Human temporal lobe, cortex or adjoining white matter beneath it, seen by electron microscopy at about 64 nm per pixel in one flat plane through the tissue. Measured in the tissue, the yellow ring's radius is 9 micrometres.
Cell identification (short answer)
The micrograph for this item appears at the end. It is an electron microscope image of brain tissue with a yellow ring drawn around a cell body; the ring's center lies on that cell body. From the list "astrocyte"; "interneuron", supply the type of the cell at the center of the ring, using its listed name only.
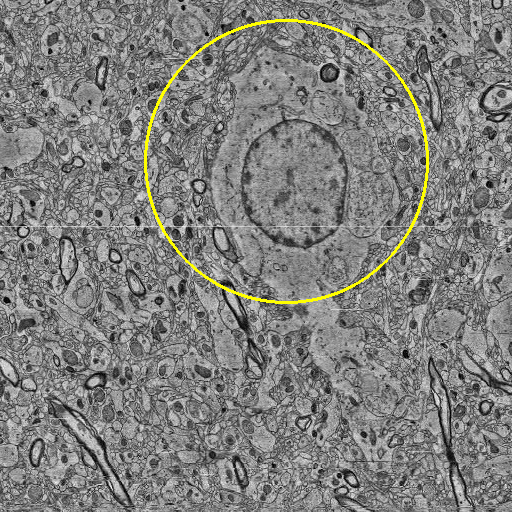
astrocyte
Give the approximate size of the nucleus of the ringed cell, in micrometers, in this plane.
The nucleus works out at approximately 8 by 7 micrometres in this plane.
